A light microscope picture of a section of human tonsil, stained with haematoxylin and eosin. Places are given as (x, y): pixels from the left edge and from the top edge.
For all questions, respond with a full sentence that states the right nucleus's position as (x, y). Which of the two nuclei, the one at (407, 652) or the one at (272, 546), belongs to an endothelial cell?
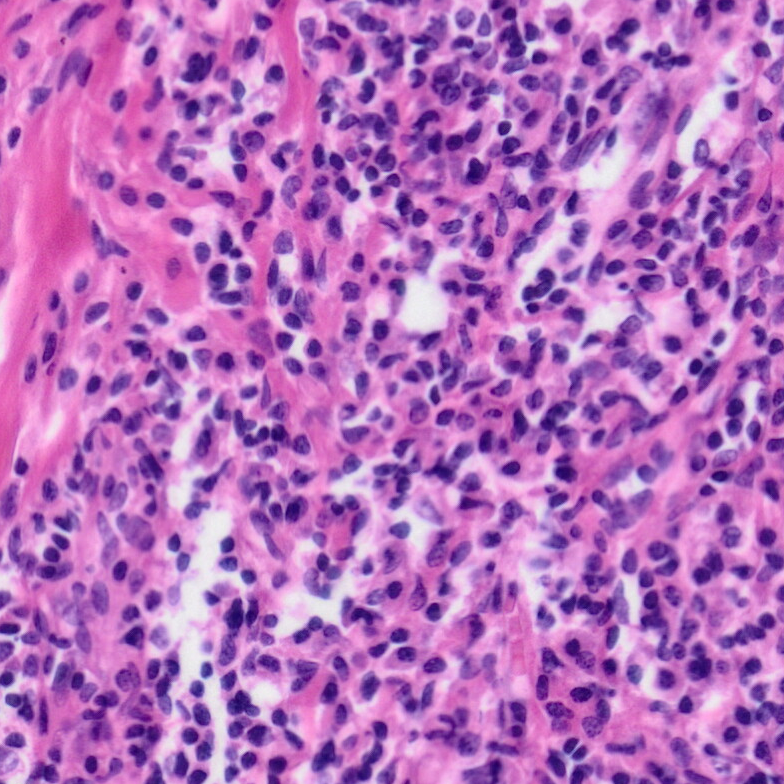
Of the pair, the nucleus positioned at (272, 546) is that of an endothelial cell.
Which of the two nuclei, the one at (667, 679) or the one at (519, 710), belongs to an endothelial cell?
Of the two nuclei, the nucleus belonging to an endothelial cell is located at (519, 710).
